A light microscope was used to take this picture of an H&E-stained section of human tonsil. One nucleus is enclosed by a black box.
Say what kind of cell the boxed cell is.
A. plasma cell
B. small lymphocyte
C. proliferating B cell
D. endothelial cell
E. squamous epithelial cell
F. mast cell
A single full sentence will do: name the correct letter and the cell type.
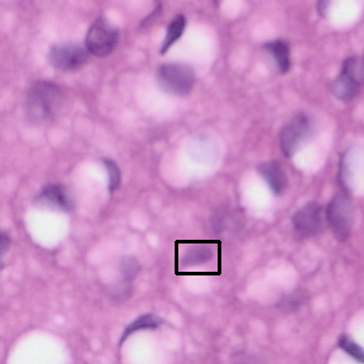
Option E wins here: the boxed cell is a squamous epithelial cell.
